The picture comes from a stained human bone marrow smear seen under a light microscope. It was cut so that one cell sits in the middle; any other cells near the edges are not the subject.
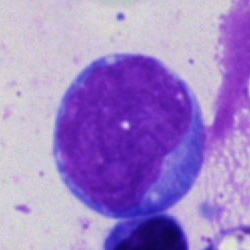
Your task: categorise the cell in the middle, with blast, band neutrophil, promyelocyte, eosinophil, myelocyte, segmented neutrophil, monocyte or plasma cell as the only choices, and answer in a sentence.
The centered cell in this crop is a blast.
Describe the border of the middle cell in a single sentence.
From every side, the cell boundary is smooth and free of projections.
